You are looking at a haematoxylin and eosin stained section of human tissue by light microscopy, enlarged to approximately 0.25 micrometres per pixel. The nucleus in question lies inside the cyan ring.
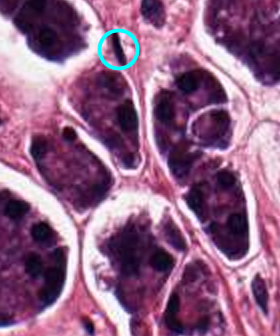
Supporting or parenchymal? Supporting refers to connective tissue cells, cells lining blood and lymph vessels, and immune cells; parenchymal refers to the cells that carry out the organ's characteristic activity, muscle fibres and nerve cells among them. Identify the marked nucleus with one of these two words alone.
supporting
